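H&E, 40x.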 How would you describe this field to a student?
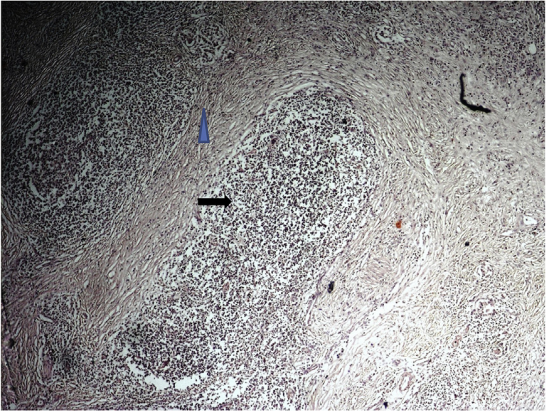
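Here you see large oval areas packed with inflammatory cells, separated by broad bands of fibrous tissue. The inflammatory areas are crowded with small cells that have dark, round nuclei and little cytoplasm. Few glandular structures remain within them. Around these areas, the fibrous tissue is pale, with long spindle-shaped nuclei arranged in swirling, concentric streams. The fibrous bands are wide and dense, and they divide the tissue into separate compartments.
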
